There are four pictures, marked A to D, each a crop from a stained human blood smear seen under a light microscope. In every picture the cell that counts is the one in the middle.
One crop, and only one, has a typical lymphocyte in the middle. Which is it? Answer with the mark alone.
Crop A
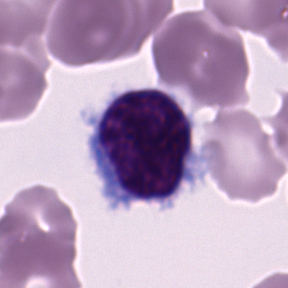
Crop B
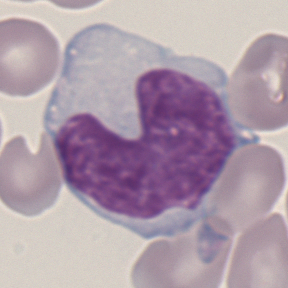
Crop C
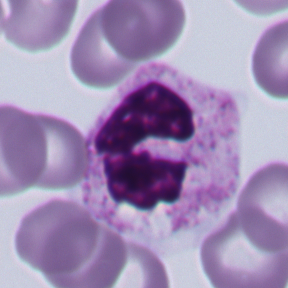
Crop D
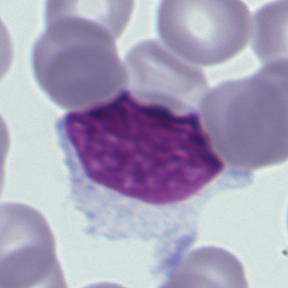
D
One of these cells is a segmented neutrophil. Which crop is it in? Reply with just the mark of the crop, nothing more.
C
